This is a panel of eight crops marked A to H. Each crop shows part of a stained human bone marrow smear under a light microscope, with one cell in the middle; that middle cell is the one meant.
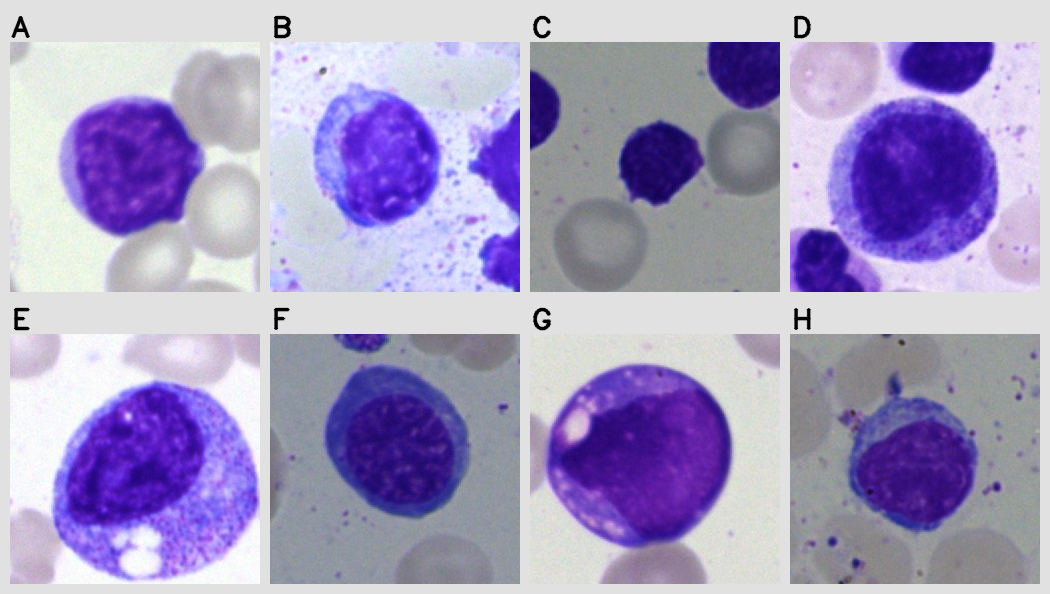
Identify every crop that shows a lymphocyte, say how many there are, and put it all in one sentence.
A group of three crops, consisting of B, C and H, shows lymphocytes.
